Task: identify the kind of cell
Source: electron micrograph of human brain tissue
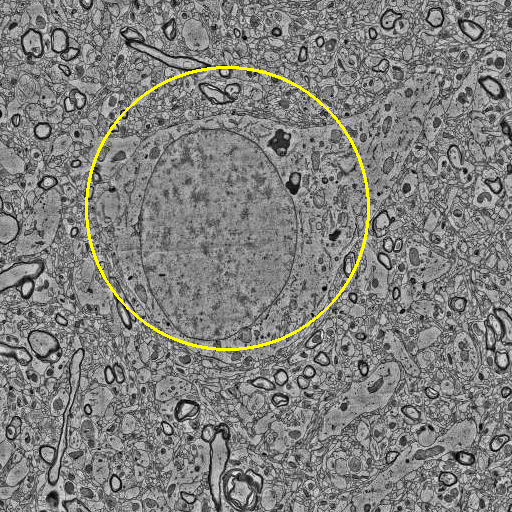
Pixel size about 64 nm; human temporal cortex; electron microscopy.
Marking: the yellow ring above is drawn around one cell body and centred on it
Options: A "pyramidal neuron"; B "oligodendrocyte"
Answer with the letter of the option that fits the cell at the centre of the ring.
A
